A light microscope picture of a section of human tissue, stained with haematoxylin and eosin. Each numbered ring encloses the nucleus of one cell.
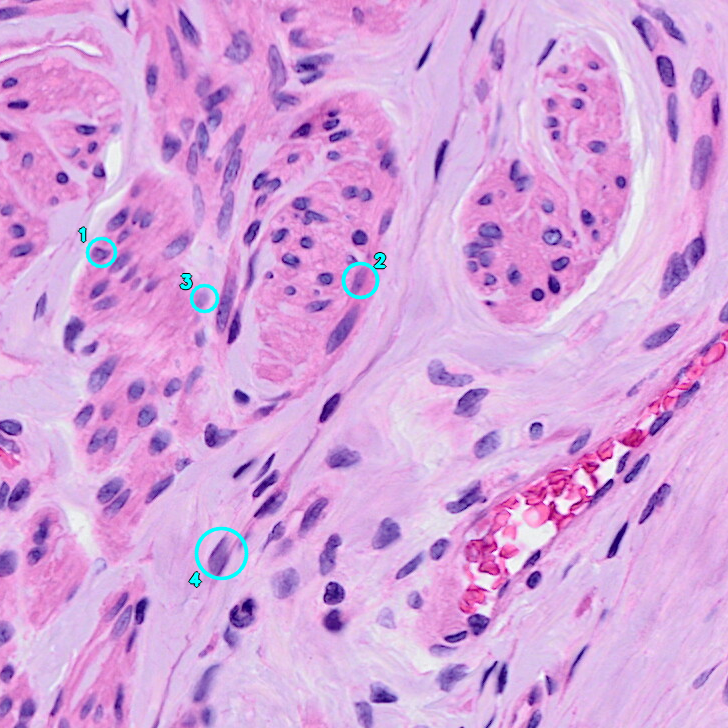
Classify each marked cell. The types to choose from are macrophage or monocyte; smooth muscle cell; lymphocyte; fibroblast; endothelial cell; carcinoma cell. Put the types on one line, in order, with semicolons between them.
smooth muscle cell; smooth muscle cell; smooth muscle cell; fibroblast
